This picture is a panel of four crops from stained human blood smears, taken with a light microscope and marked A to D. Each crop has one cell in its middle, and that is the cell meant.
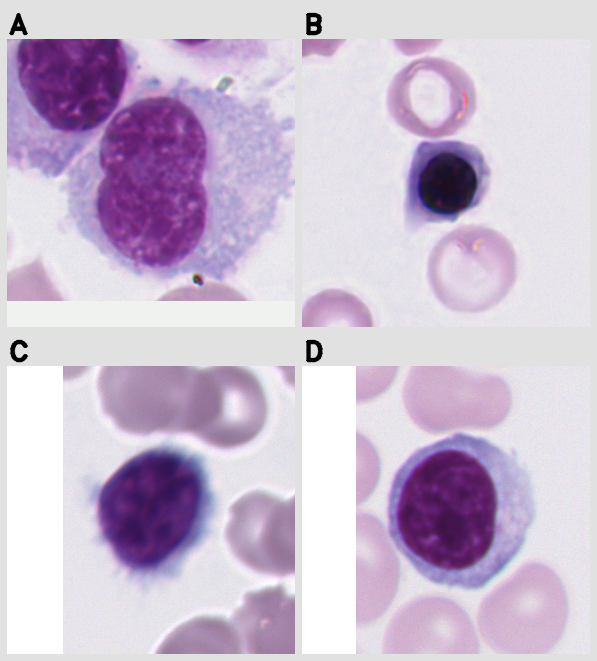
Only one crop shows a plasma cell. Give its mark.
A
